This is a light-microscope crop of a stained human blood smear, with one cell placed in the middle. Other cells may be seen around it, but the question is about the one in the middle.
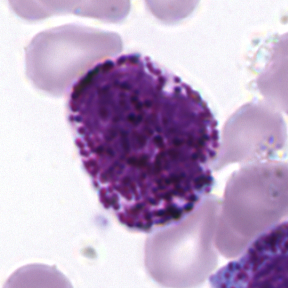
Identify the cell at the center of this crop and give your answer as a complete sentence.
Classification of the middle cell gives a basophil.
